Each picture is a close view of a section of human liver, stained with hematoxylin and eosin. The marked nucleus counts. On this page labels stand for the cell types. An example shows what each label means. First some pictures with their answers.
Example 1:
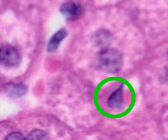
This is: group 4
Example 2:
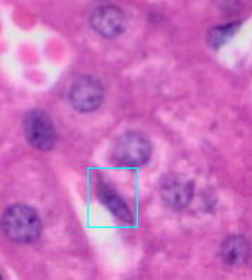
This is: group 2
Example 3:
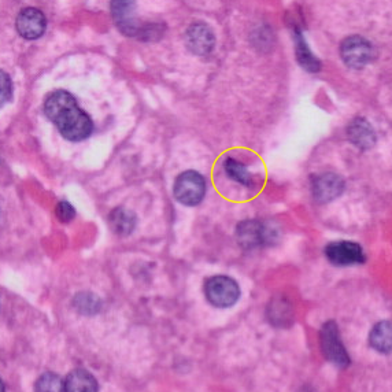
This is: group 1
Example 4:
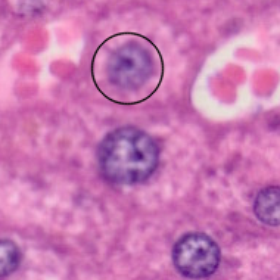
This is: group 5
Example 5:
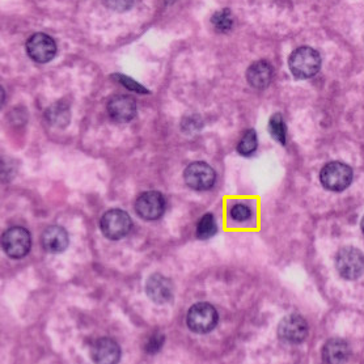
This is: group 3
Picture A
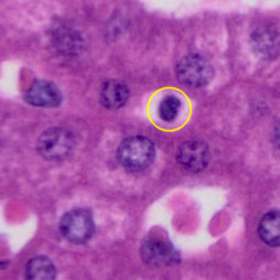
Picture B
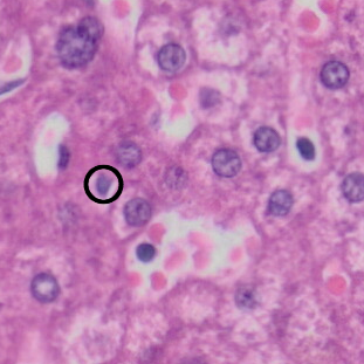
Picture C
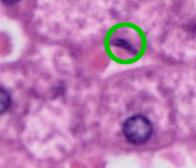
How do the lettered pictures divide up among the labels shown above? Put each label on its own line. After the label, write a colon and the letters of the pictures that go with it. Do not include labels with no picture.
group 4: C
group 3: A, B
